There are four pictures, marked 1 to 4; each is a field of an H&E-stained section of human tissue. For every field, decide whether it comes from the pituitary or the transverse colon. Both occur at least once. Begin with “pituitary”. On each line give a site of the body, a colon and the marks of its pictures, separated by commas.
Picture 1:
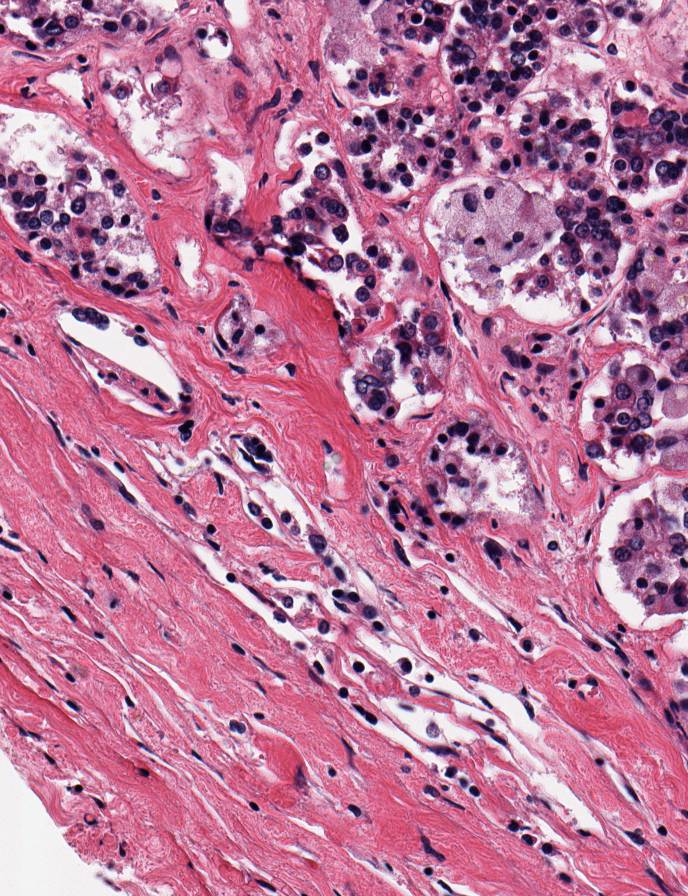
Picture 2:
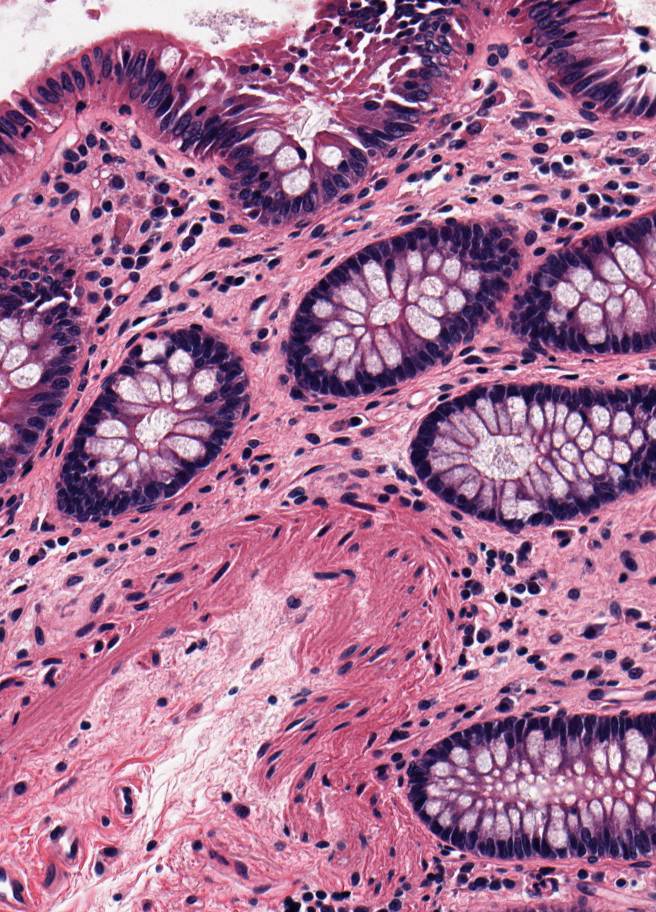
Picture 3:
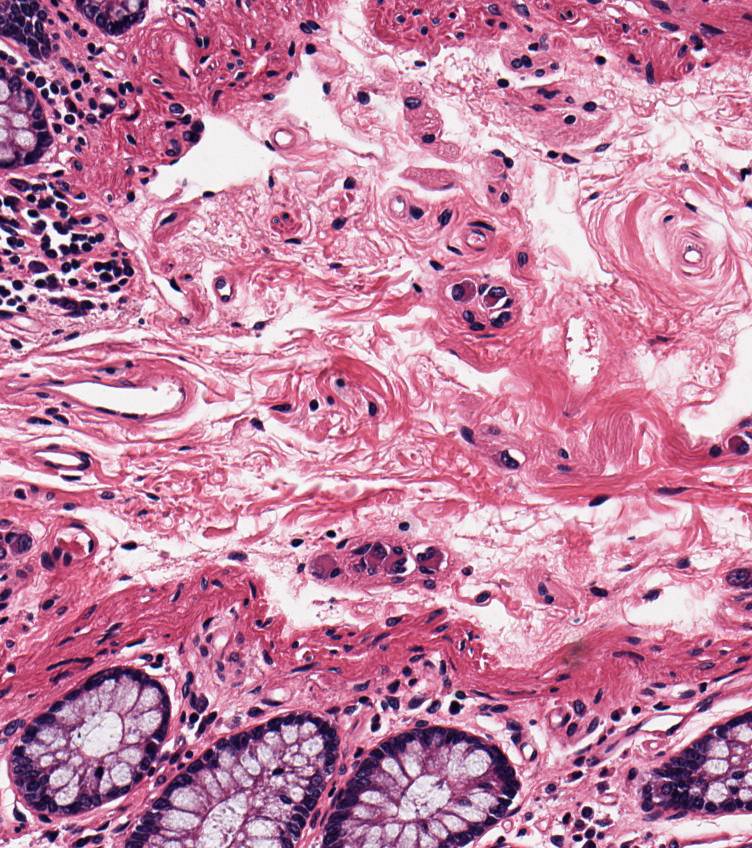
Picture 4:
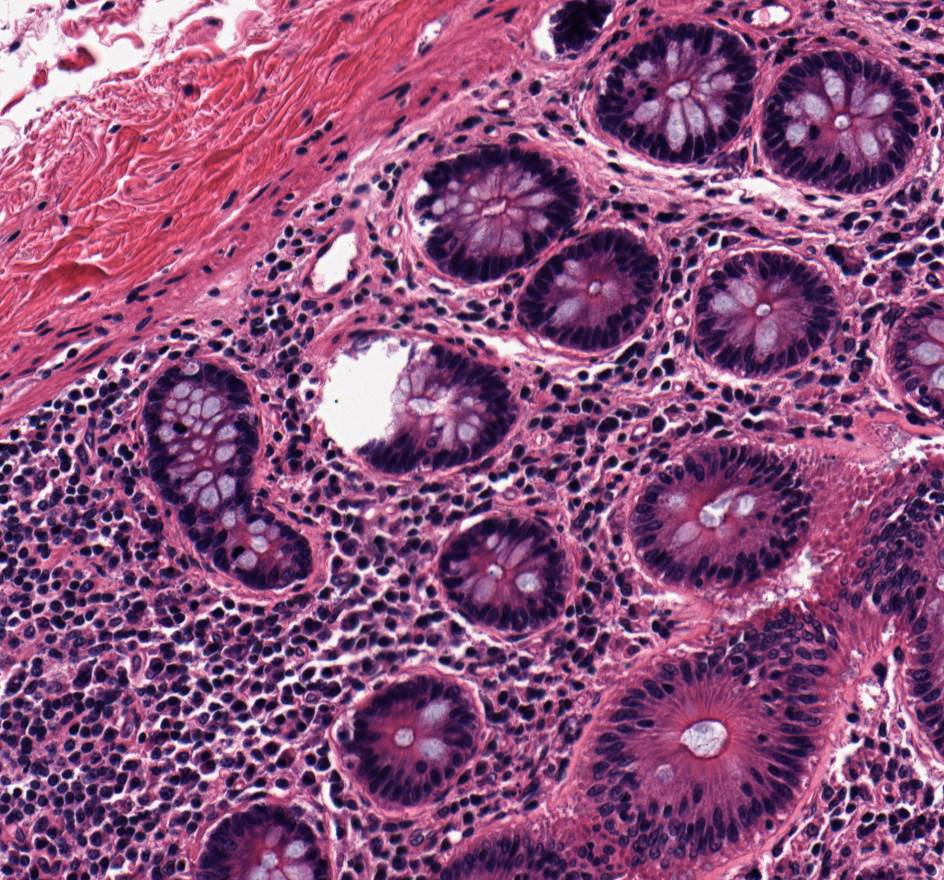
pituitary: 1
transverse colon: 2, 3, 4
